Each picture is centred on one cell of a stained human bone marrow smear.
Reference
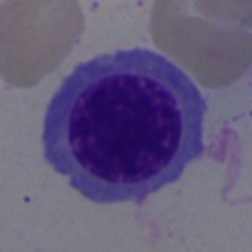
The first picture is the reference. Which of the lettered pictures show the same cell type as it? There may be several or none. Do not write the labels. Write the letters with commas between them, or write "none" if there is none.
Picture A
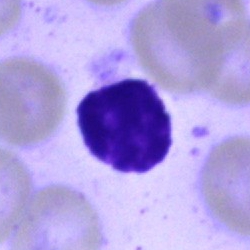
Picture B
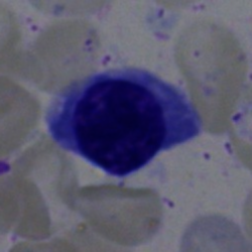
B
